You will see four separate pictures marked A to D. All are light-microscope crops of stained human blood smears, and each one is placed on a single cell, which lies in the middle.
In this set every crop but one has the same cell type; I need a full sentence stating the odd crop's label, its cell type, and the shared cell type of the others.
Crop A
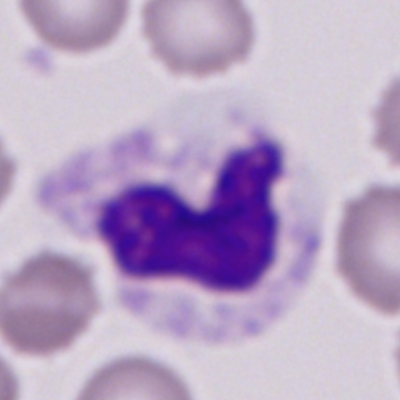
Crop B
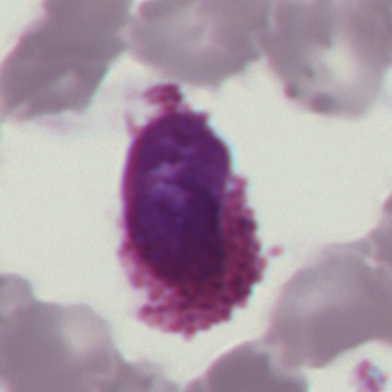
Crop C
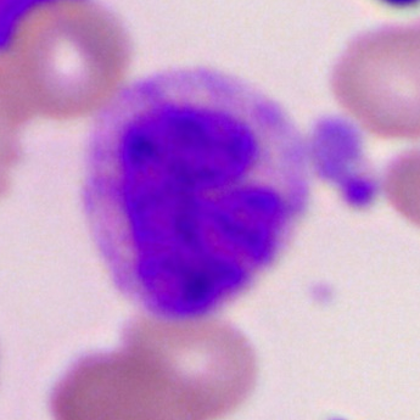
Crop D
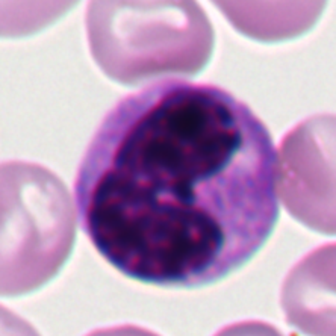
Only crop B differs, being an eosinophil, while the others all show band neutrophils.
